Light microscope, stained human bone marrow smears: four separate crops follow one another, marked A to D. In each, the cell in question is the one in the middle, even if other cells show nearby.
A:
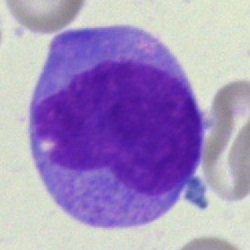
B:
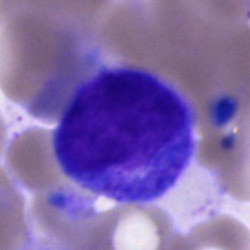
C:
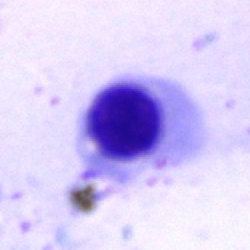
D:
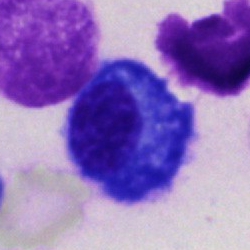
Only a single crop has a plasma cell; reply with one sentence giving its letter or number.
Crop D is the one that shows a plasma cell.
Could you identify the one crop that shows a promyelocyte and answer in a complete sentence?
The correct choice is crop B, the one showing a promyelocyte.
